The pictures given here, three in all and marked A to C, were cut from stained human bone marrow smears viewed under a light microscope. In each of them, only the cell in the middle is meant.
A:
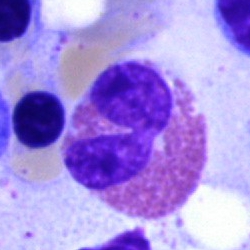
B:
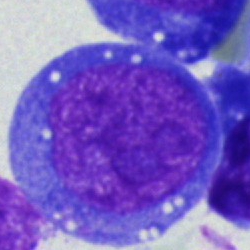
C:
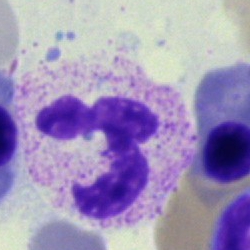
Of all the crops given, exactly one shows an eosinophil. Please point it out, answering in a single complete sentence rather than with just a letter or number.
Of the cells presented, the one in crop A is an eosinophil.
